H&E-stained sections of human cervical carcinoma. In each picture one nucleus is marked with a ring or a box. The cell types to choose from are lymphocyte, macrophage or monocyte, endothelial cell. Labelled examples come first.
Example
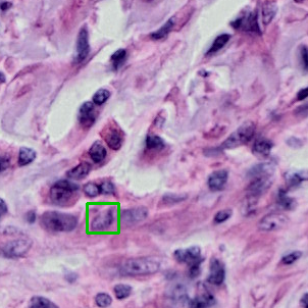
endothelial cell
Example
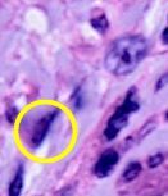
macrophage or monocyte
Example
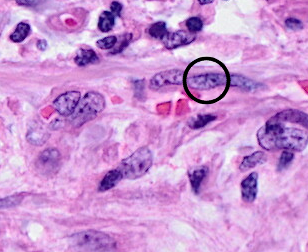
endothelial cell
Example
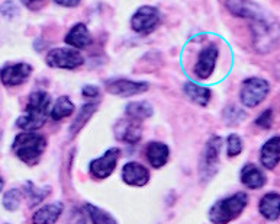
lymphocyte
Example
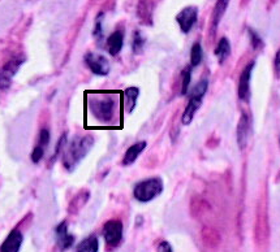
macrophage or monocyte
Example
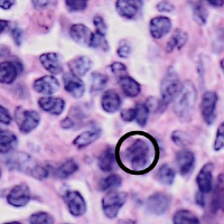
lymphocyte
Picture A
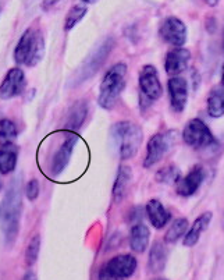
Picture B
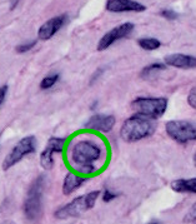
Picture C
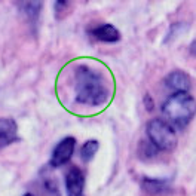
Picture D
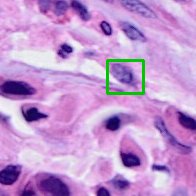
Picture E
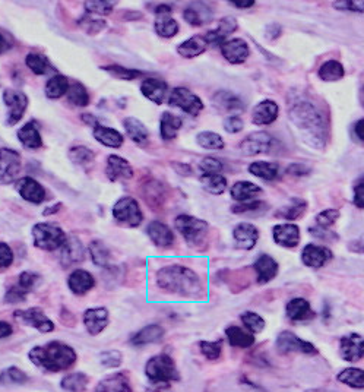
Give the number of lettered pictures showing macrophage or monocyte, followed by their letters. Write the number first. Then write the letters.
3: C, D, E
